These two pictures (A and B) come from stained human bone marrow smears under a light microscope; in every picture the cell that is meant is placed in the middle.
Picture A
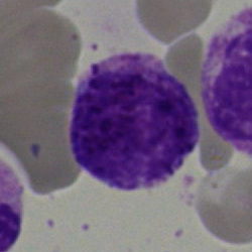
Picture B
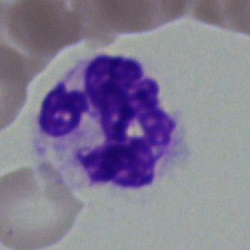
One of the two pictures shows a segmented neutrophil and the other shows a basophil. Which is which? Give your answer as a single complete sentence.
It is picture A that shows a basophil, and picture B that shows a segmented neutrophil.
